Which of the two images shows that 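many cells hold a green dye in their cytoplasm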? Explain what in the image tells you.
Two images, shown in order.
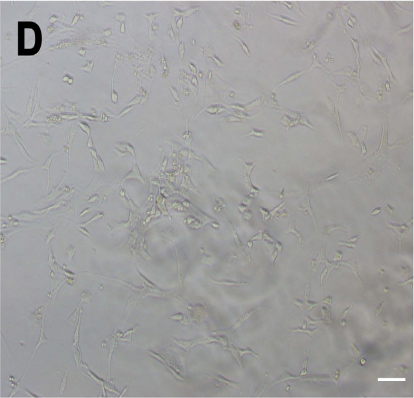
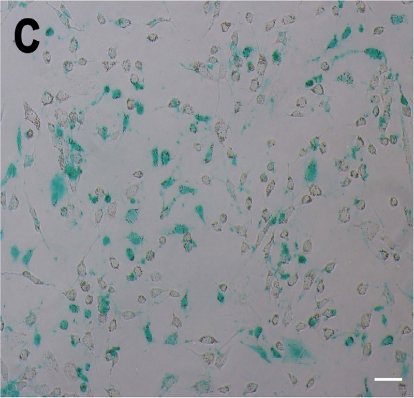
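The second image. First image: the cells are colourless and grey, with no green in them. Second image: many scattered cells are filled with blue-green colour.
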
